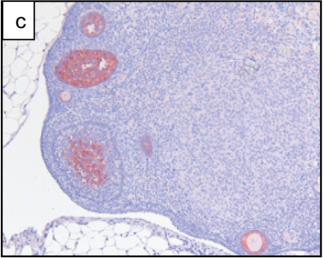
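This is ovarian tissue with several follicles at the edge of the organ, their granulosa cells stained red. Smaller follicles at the surface also show a red ring of cells. The surrounding stroma is densely cellular and stained only blue. Pale adipose tissue lies outside the ovary at the left.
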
